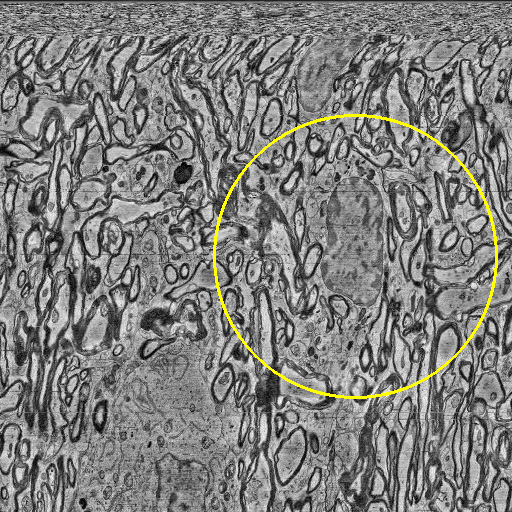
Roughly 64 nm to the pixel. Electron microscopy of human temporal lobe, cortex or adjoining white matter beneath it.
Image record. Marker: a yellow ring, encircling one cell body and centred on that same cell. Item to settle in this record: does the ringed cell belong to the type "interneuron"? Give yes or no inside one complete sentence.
No, in the picture, the cell centred within the yellow ring is of a different type.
